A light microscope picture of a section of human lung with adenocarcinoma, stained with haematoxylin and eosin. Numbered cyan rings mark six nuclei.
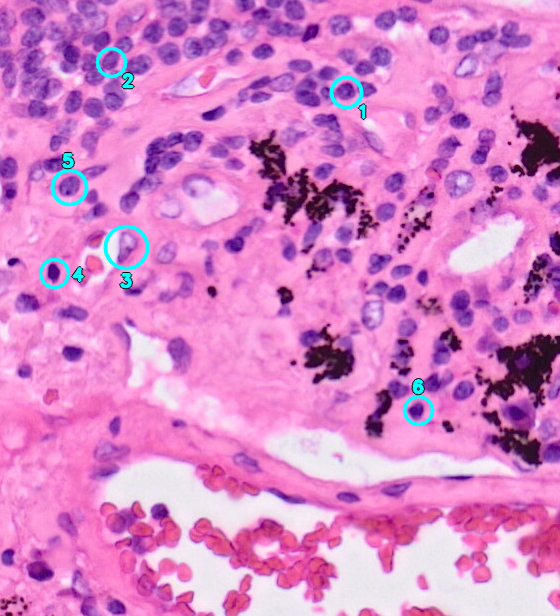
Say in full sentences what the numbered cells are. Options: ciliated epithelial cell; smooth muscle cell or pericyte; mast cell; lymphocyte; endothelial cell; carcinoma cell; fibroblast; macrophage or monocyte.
Cell 1 is a lymphocyte, cell 2 is a lymphocyte, cell 3 is an endothelial cell, cell 4 is a lymphocyte, cell 5 is a mast cell and cell 6 is a lymphocyte.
